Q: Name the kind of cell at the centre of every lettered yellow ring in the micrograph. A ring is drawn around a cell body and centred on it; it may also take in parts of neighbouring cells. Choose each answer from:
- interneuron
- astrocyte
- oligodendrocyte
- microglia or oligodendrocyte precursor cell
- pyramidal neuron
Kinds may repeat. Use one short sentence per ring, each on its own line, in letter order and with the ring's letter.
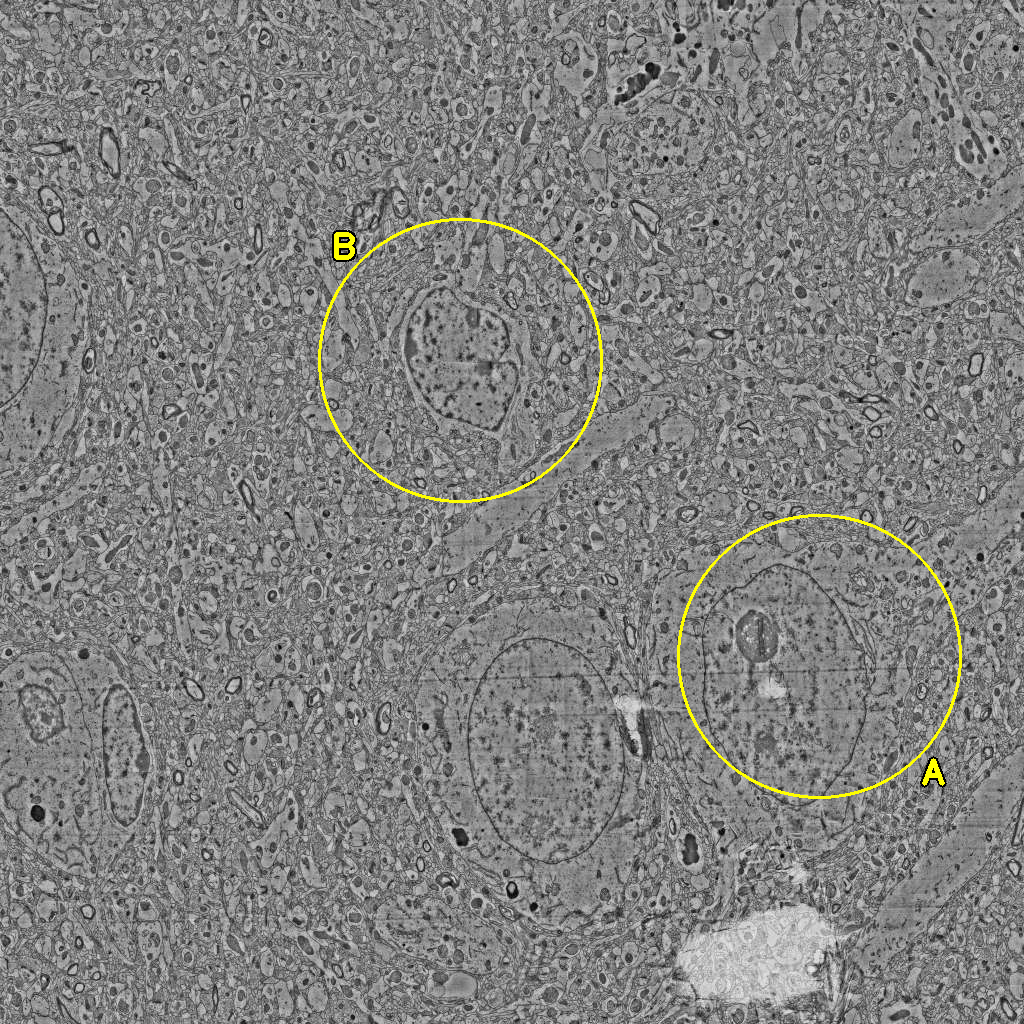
Ring A is placed around a pyramidal neuron.
Ring B is placed around a microglial cell or oligodendrocyte precursor cell.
